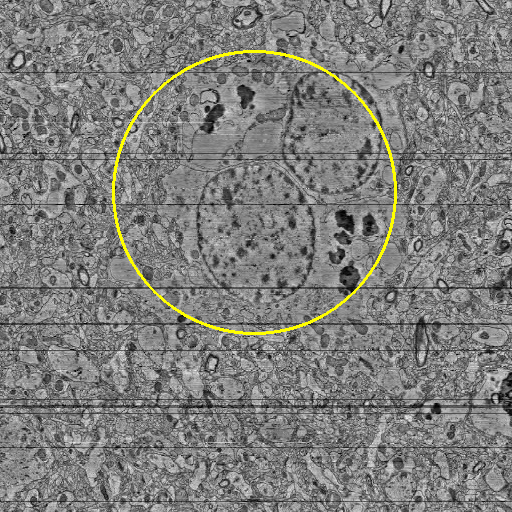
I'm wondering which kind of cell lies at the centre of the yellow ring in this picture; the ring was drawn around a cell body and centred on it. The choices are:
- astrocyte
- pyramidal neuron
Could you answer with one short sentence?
At the centre of the ring lies an astrocyte.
